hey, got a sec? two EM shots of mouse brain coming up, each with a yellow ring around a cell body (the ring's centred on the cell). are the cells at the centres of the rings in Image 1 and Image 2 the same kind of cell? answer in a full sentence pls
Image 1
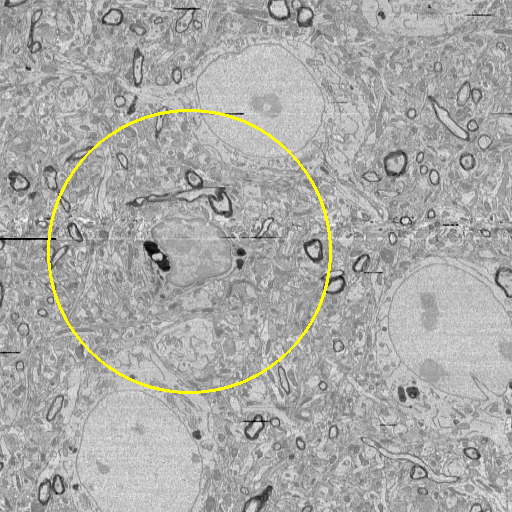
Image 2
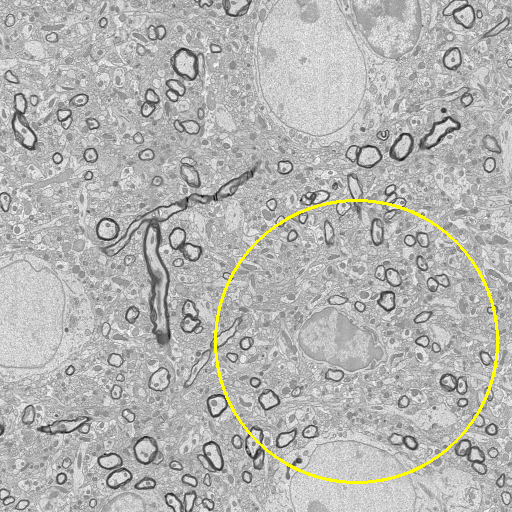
Yes, both are the same kind of cell.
